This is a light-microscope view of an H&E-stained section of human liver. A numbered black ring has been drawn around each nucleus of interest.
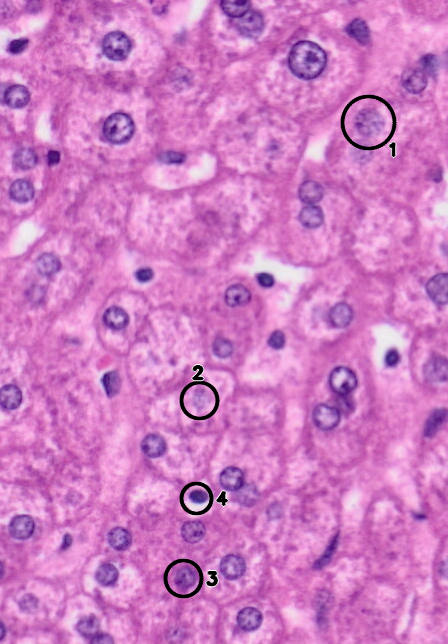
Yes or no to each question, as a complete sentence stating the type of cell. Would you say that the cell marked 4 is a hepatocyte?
No, number 4 does not mark a hepatocyte; it marks a lymphocyte.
